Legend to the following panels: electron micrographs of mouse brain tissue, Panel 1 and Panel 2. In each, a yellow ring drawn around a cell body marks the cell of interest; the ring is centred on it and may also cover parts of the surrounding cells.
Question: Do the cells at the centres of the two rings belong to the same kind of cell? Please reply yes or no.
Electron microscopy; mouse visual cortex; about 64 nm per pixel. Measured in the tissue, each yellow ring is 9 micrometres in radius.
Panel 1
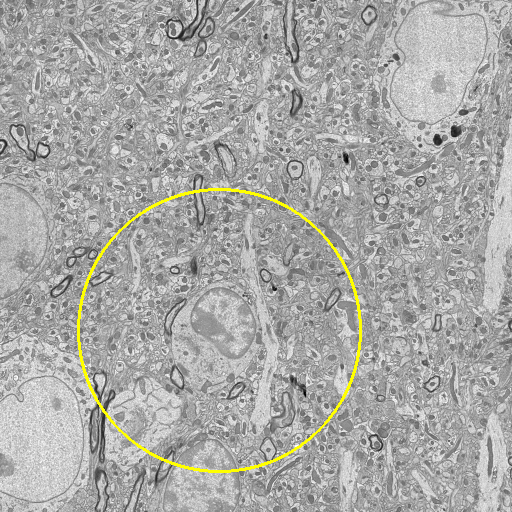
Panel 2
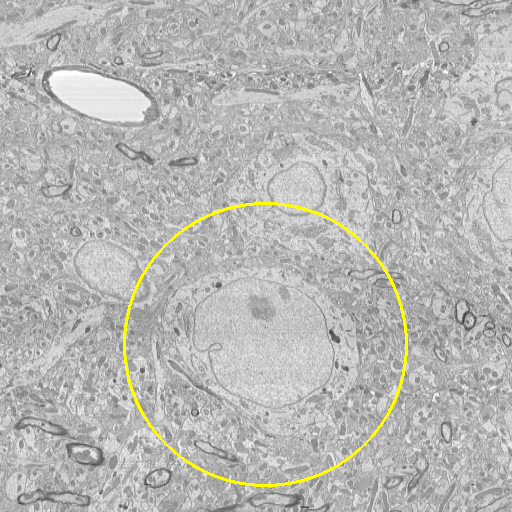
no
